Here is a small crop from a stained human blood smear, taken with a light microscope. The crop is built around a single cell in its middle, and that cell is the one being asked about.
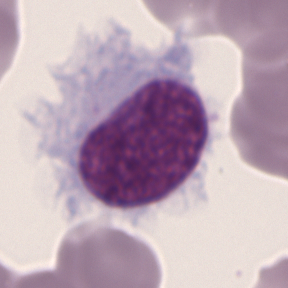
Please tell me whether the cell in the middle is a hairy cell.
yes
